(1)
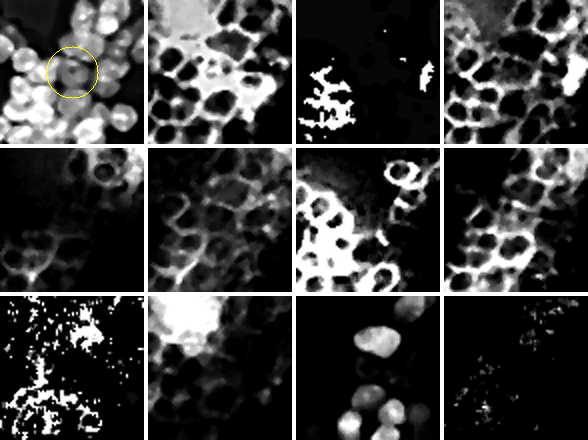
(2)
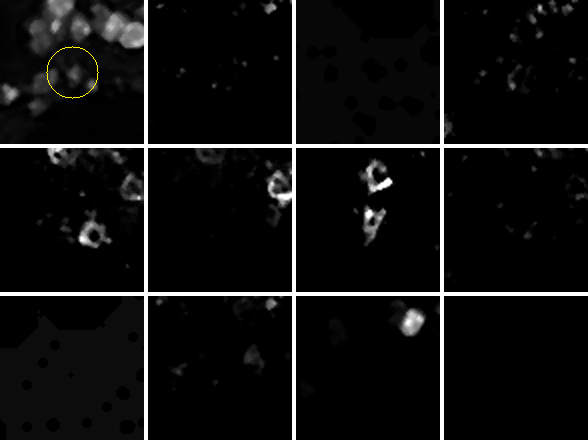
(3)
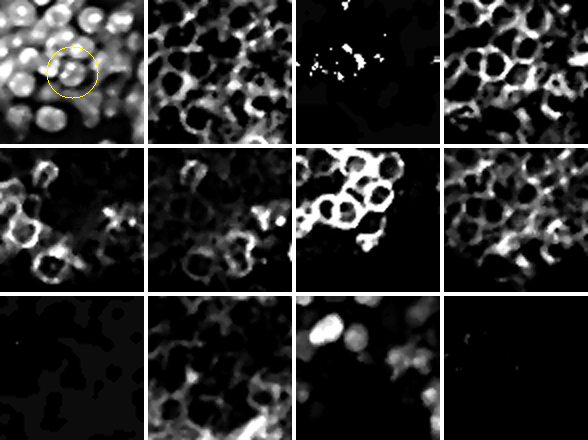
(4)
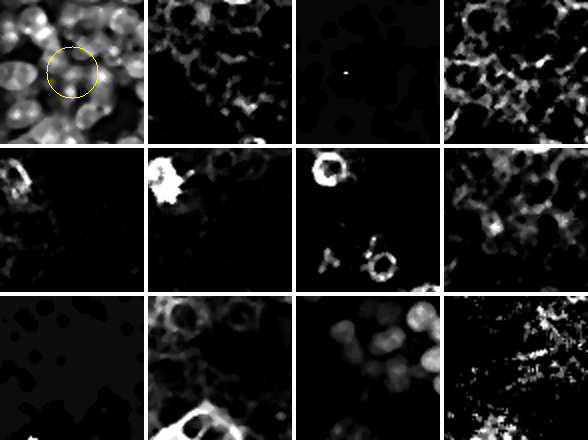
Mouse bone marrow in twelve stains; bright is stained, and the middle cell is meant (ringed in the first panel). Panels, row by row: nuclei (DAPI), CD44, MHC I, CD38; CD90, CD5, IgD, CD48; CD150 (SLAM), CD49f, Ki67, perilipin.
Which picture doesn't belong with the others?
Picture 4.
